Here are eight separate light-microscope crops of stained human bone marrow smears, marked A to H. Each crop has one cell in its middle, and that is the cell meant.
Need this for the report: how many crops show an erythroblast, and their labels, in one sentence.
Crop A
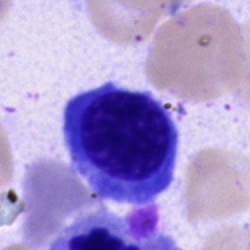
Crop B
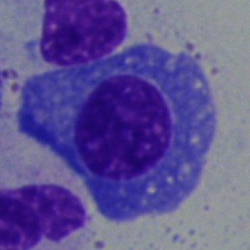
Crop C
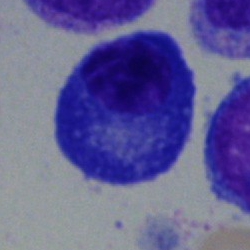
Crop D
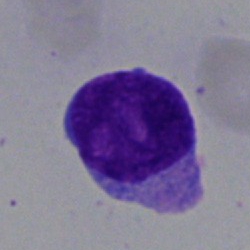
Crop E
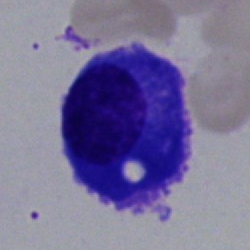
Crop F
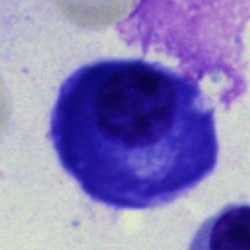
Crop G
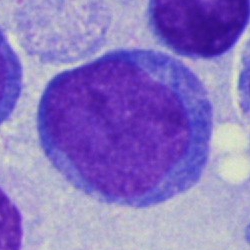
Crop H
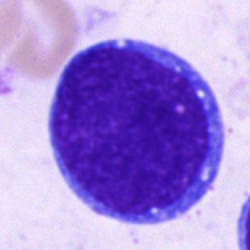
Of all the crops, crop A is the one containing an erythroblast.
